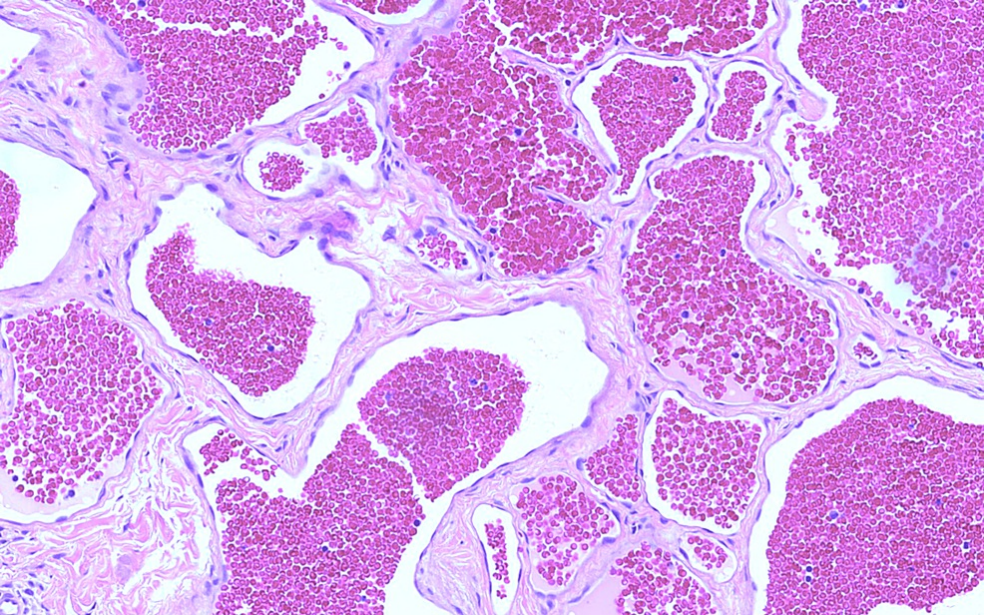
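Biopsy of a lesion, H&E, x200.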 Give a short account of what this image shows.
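Large, irregular, thin-walled spaces are packed with red blood cells, with only a few scattered white cells among them. Thin pink fibrous septa with sparse spindle-shaped nuclei separate the spaces. A single layer of flattened lining cells with small, dark, elongated nuclei lines each space, and none of these nuclei look atypical. Together these are clusters of cavernous blood-filled vascular spaces lined by flat endothelial cells and separated by connective tissue septa.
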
